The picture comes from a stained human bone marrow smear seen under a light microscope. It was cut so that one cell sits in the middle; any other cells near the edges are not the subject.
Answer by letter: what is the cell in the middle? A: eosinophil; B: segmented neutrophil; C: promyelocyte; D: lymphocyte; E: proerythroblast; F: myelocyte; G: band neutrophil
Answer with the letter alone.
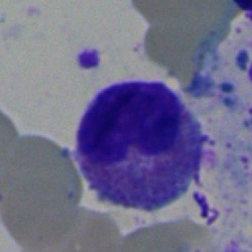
A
